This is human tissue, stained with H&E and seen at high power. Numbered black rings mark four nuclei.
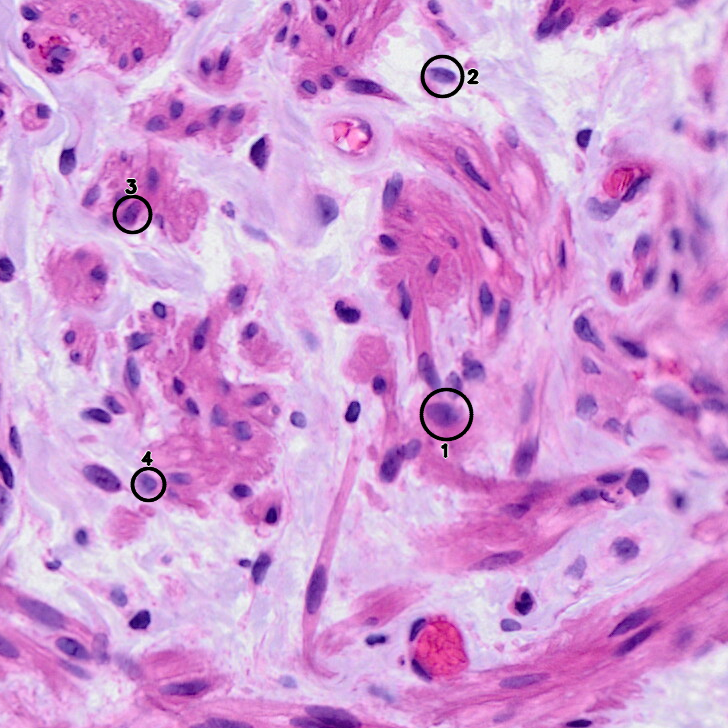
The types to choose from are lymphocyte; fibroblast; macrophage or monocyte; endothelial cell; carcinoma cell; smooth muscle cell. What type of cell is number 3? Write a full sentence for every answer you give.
The cell marked with number 3 is a smooth muscle cell.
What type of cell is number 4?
Recognised here as a smooth muscle cell is the cell numbered 4.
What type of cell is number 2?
The correct label for cell 2 is a fibroblast.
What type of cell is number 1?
The cell indicated by marker 1 is a smooth muscle cell in this section.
